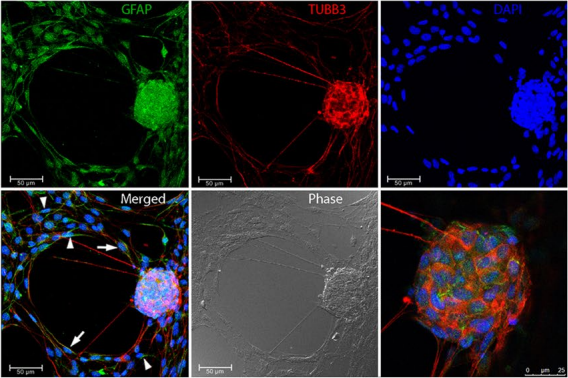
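The compact round cluster of many nuclei carries both red and green signal, and long thin red fibres run out from it across an open space. Elongated cells with oval blue nuclei and green cytoplasm lie along these fibres or stretch between them. The phase image shows the same round cluster and the fine fibres over a flat background.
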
